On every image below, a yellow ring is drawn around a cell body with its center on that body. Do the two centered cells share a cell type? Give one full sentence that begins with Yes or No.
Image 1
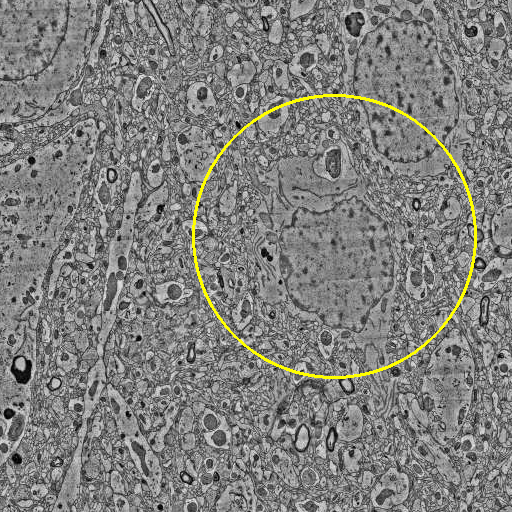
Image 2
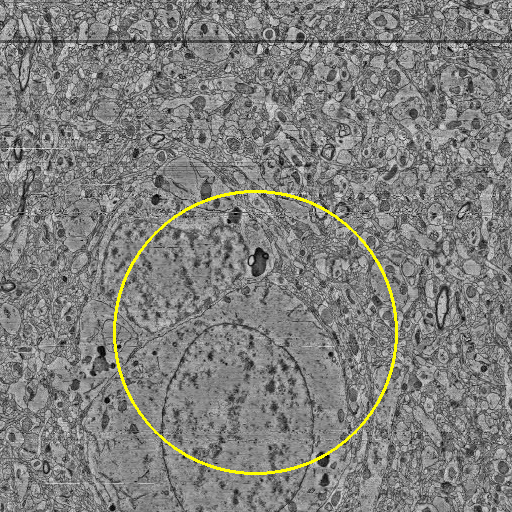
No, the centered cells in the two images are of two separate cell types.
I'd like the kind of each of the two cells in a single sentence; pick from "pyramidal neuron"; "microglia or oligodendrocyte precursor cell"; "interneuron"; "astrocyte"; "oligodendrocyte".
The first ring marks an astrocyte, and the second ring marks a pyramidal neuron.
